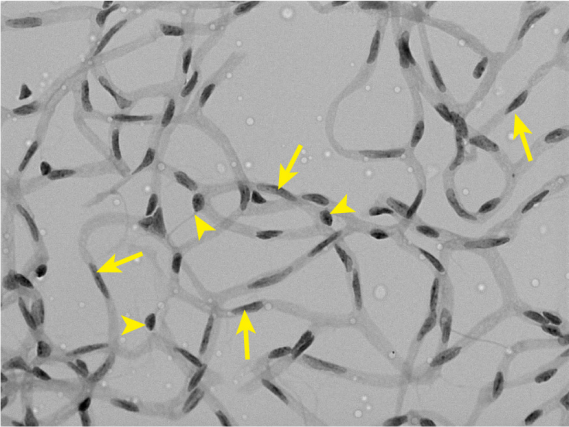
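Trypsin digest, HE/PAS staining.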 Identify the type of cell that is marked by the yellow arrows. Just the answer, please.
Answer: Endothelial cells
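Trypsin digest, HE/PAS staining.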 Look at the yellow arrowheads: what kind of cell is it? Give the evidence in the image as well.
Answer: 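The arrowheads mark compact, round, darkly stained nuclei. They sit on the outer surface of the capillaries.
Pericytes.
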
